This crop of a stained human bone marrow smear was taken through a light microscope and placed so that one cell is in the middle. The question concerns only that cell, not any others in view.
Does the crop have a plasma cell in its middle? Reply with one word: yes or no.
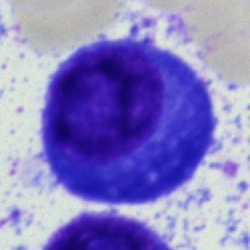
yes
